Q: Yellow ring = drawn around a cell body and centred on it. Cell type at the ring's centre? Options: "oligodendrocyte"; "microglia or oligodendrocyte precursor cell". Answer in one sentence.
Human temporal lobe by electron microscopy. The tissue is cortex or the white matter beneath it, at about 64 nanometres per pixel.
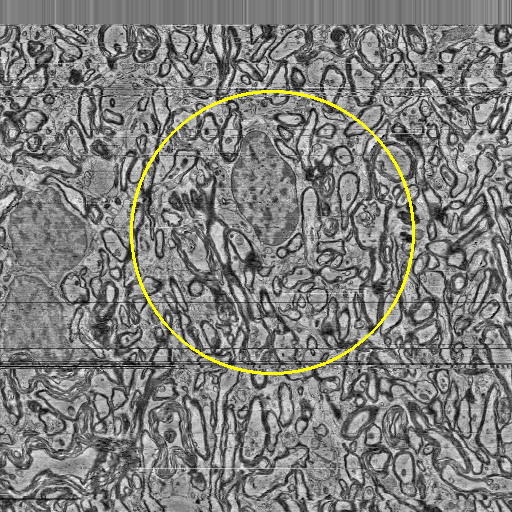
Centred in the ring is a microglial cell or oligodendrocyte precursor cell.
